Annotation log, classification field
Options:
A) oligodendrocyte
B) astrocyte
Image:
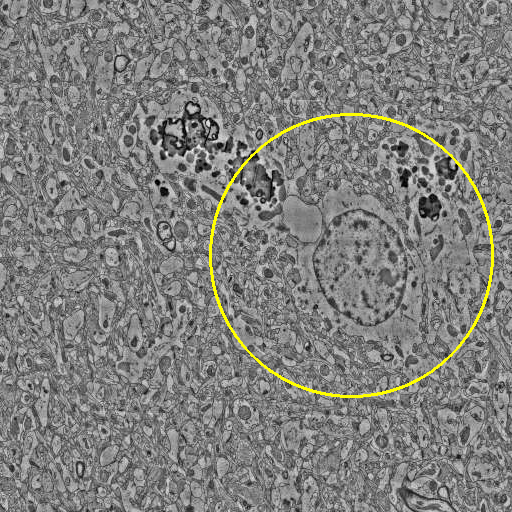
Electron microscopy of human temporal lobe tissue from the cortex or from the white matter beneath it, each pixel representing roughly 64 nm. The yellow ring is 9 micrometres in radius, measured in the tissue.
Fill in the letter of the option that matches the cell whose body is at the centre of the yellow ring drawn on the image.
B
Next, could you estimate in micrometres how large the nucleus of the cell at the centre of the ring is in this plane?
Approximately 8 x 6 micrometres in this plane.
